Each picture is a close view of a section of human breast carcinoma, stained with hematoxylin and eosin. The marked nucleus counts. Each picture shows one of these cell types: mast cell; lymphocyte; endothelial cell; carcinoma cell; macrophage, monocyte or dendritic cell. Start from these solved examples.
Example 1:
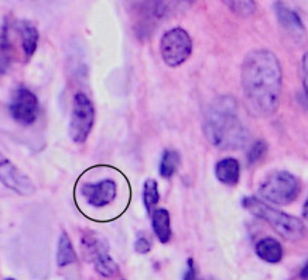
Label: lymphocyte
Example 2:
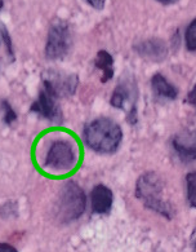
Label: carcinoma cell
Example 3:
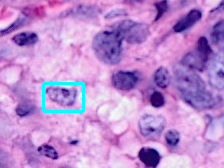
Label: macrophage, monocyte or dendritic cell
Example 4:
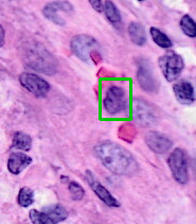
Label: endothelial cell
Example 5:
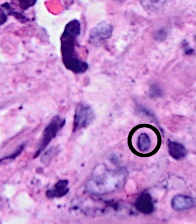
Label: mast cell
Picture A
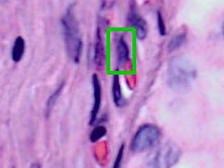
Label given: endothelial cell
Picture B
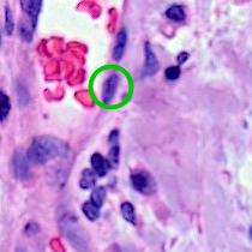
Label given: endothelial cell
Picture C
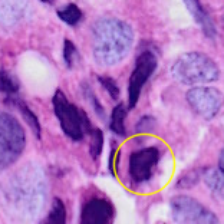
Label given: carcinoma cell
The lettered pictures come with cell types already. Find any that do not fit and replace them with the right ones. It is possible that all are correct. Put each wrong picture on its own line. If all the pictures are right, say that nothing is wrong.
All correct.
